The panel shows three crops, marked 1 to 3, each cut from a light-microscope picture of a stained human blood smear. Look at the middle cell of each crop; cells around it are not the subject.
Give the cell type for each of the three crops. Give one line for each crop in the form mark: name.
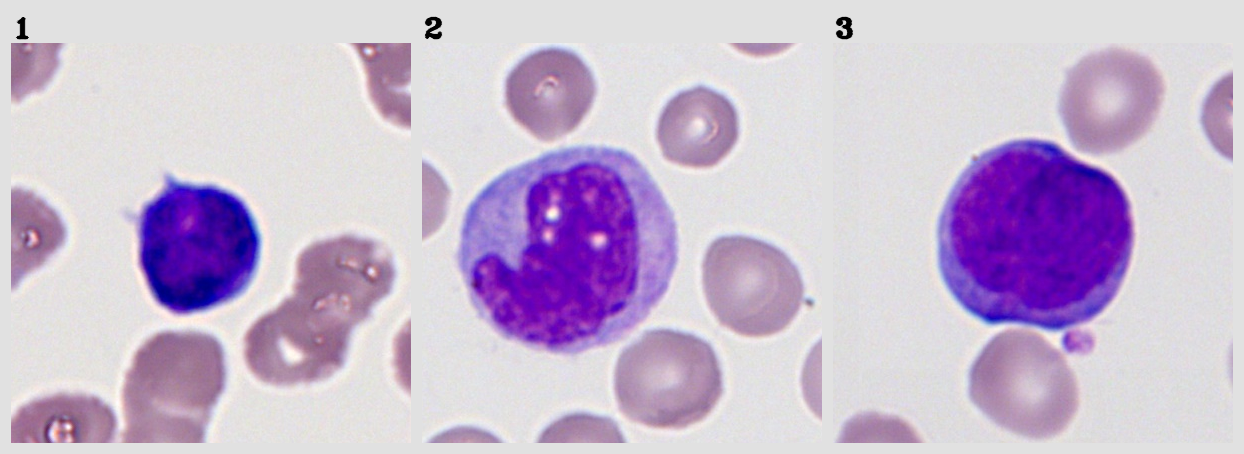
1: lymphocyte
2: monocyte
3: blast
